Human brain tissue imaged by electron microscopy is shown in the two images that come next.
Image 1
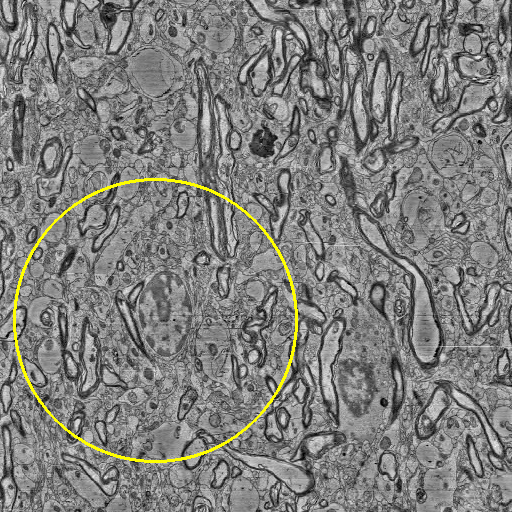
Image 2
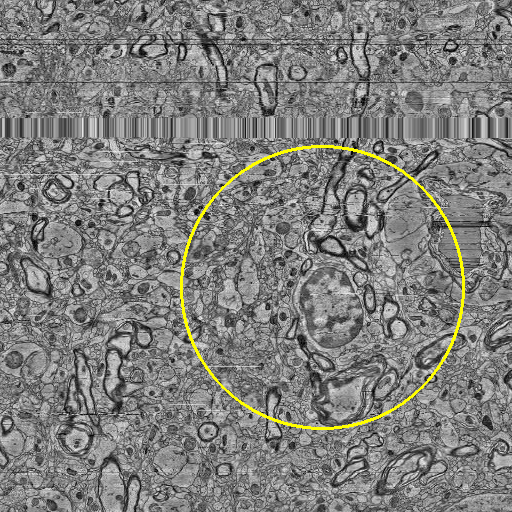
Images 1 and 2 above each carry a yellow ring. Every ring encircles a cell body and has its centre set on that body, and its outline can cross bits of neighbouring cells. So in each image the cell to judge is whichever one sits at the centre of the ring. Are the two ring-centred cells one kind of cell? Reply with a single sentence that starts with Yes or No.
Yes, in Image 1 and Image 2 the cells at the centres of their rings fall into one type.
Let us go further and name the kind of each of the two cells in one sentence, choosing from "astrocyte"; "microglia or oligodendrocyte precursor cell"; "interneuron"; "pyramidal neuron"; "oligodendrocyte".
In each picture the ringed cell is a microglial cell or oligodendrocyte precursor cell.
